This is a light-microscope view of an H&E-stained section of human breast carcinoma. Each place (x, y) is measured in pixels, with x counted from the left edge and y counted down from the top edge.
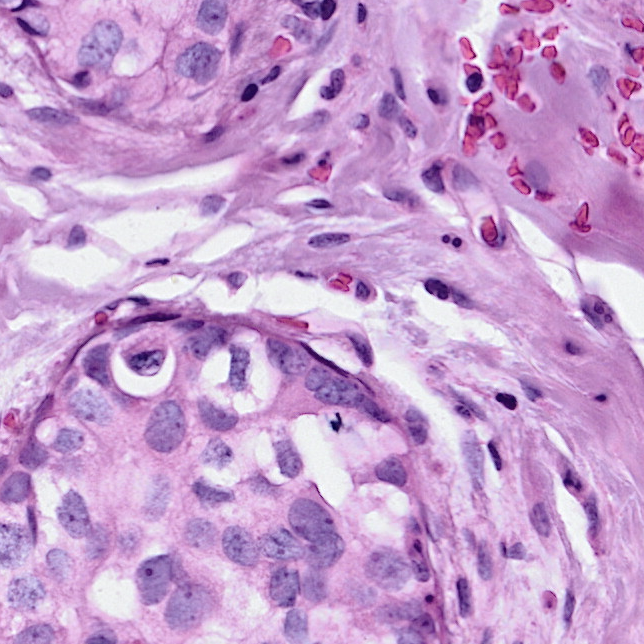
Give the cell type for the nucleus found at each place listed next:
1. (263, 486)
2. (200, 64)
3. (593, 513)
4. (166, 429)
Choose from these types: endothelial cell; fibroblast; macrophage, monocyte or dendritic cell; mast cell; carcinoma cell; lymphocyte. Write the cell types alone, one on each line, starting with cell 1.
carcinoma cell
carcinoma cell
fibroblast
carcinoma cell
